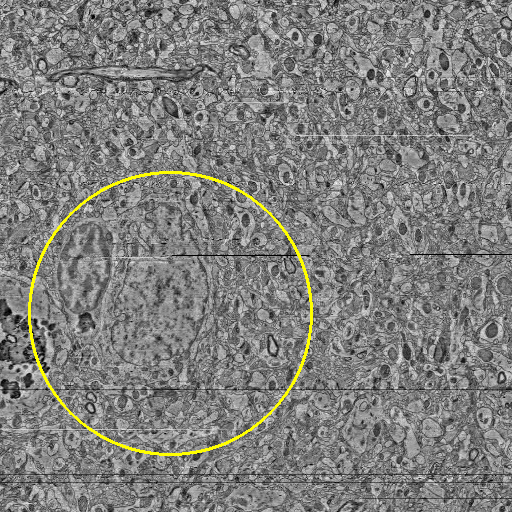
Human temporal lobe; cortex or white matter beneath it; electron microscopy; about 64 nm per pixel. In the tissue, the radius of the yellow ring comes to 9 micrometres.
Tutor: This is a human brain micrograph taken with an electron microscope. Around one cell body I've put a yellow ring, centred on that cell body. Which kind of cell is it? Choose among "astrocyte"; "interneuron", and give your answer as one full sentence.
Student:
Going by your list, the cell centred in the yellow ring is an interneuron.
